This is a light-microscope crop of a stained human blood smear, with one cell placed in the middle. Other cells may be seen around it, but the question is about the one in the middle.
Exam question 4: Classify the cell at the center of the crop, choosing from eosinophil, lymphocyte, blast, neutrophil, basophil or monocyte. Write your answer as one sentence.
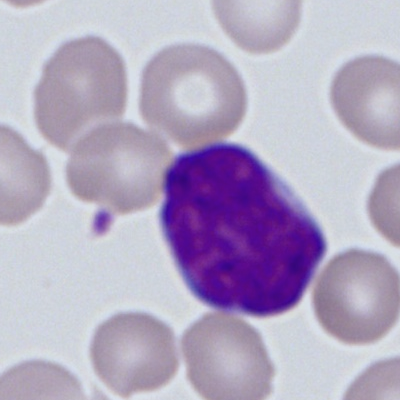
The centrally located cell in the crop is a blast.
